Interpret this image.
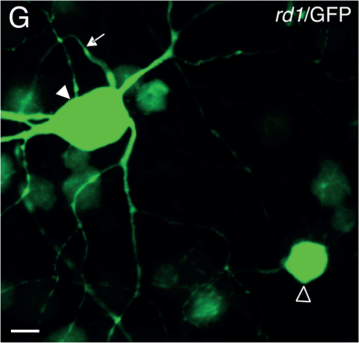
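This flat view through the ganglion cell layer shows a large ganglion cell body, bright green and polygonal, with several thick processes radiating from it. One thin, faint process runs away from the cell and is seen only in part, as the axon lies out of the focal plane. Fainter green cell bodies and fine branching processes are scattered around these cells.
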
